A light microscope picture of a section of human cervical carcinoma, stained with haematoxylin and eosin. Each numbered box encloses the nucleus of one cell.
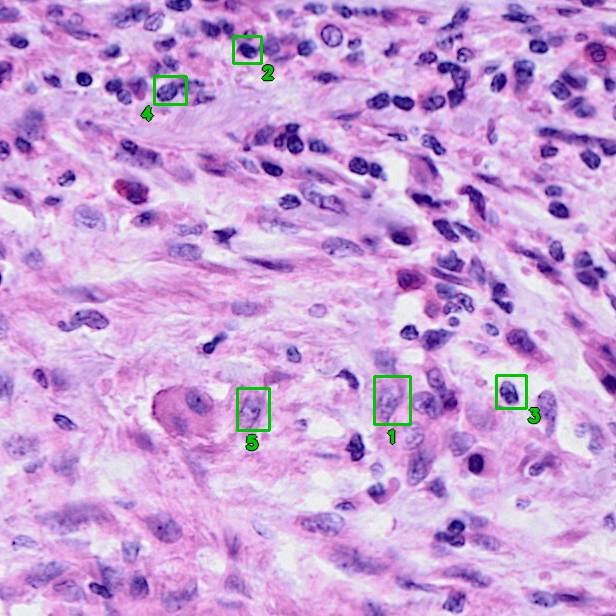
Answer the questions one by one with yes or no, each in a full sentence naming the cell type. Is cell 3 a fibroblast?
No, cell 3 is not a fibroblast. It is a lymphocyte.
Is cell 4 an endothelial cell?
No, the cell identified by number 4 is a lymphocyte, not an endothelial cell.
